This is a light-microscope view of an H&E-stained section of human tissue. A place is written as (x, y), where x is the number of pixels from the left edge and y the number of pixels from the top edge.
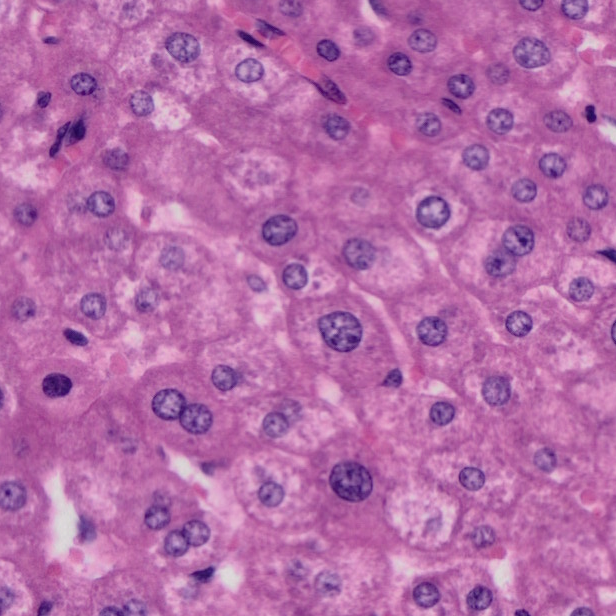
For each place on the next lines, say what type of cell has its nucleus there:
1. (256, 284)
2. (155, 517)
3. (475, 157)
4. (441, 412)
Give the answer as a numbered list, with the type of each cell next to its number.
1. Kupffer cell
2. hepatocyte
3. hepatocyte
4. hepatocyte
